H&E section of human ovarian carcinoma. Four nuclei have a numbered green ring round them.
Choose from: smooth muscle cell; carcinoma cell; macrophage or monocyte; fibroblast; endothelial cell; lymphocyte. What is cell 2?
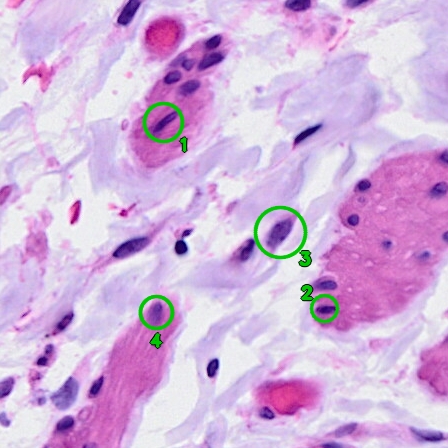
smooth muscle cell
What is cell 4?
smooth muscle cell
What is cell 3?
fibroblast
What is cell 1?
smooth muscle cell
